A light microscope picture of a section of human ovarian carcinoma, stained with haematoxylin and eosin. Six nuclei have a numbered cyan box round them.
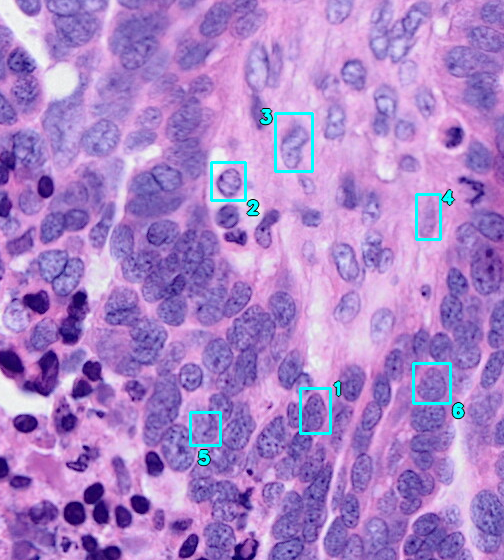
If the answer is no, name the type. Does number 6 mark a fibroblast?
No, it is a carcinoma cell.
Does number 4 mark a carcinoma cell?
No, it is a fibroblast.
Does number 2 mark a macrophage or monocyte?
Yes.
